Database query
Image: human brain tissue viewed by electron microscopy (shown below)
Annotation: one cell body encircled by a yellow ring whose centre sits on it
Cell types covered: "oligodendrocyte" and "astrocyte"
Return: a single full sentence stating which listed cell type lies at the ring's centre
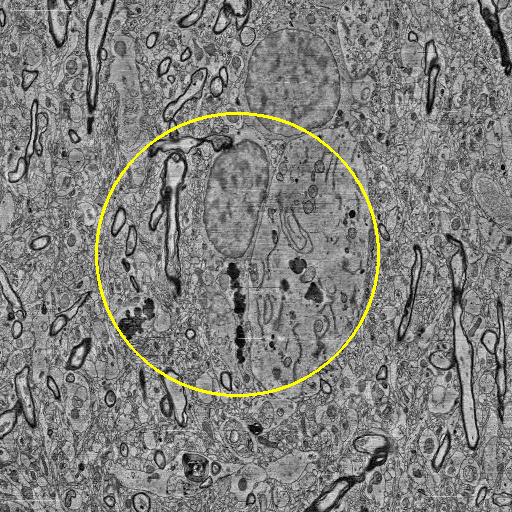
In the image, the cell lying at the ring's centre is an oligodendrocyte.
